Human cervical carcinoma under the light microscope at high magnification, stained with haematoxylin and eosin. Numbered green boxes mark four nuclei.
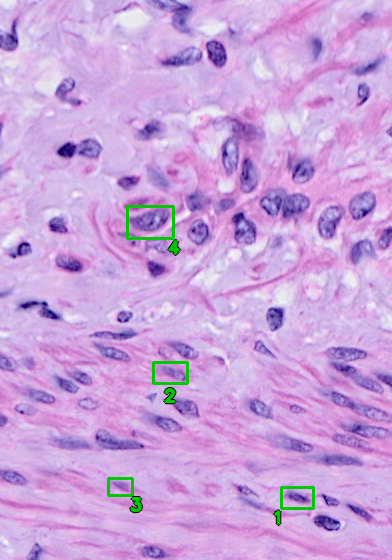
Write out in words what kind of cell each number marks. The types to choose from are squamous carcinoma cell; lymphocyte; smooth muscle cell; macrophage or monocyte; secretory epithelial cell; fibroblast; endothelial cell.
Cells 1, 2 and 3 are smooth muscle cells. Cell 4 is an endothelial cell.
